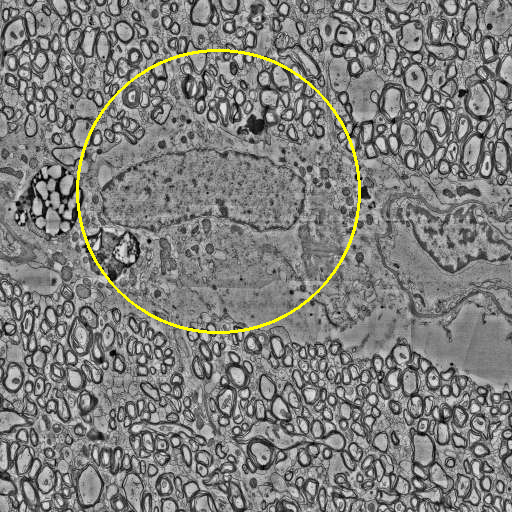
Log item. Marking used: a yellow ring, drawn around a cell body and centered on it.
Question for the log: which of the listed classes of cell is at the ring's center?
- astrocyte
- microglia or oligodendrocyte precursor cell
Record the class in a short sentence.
At the center of the ring lies an astrocyte.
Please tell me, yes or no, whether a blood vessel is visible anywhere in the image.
Yes, there is one.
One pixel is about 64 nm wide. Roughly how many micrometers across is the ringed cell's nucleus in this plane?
About 6 micrometres by about 5 micrometres in this plane.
